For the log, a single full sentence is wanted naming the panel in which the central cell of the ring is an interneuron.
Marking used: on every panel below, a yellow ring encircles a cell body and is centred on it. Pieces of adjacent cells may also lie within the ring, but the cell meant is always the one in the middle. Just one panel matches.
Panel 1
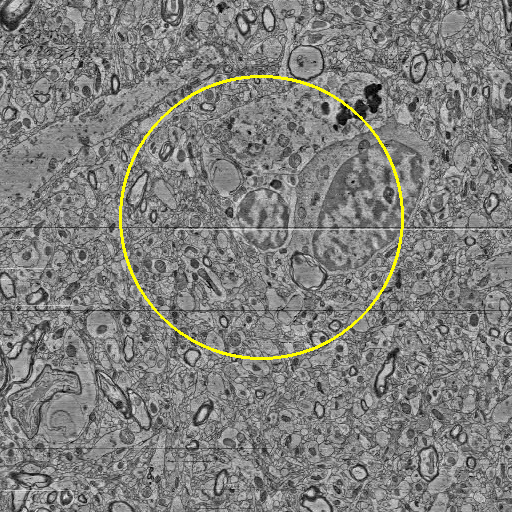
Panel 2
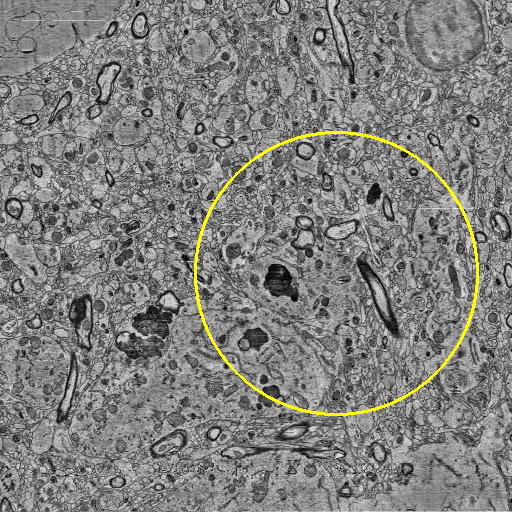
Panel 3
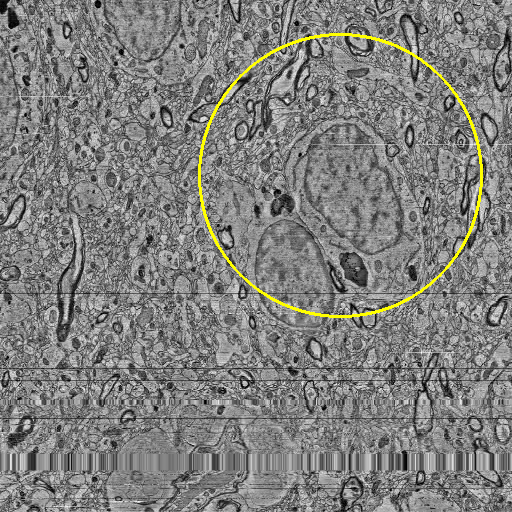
The cell in the middle of the ring in panel 3 is the one asked for.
